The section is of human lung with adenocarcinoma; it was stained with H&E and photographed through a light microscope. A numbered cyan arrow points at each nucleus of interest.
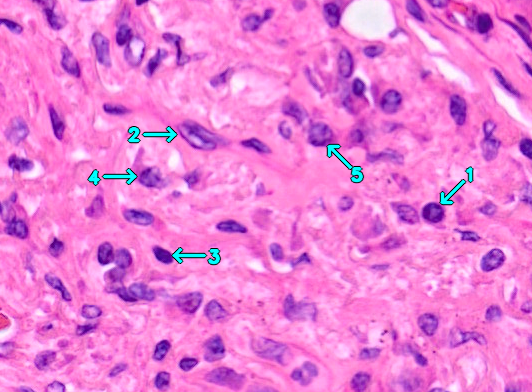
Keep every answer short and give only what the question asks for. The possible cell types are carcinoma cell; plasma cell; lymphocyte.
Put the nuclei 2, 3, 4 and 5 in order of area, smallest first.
3, 4, 5, 2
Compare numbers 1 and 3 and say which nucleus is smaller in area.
3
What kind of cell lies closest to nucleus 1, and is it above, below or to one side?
a plasma cell; to the left of nucleus 1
